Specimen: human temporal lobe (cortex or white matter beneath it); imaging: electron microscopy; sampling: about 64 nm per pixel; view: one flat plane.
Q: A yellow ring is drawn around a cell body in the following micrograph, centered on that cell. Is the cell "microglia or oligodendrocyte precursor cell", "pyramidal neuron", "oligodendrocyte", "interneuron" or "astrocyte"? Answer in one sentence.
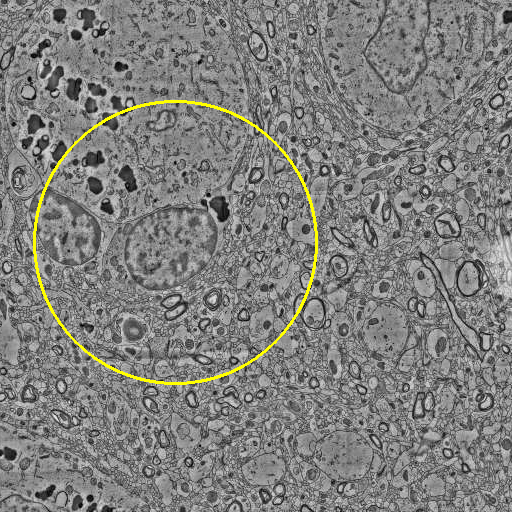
The cell in the center of the ring is an oligodendrocyte.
